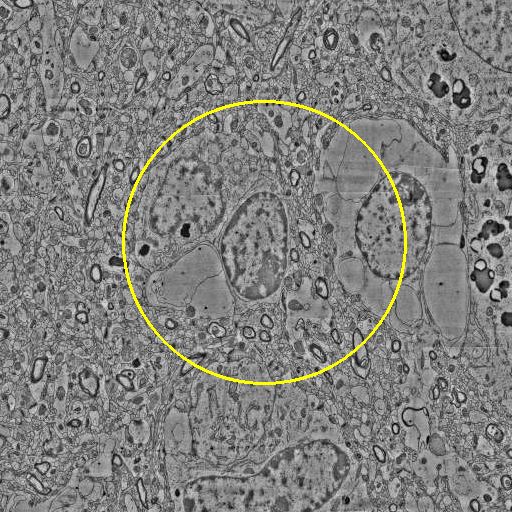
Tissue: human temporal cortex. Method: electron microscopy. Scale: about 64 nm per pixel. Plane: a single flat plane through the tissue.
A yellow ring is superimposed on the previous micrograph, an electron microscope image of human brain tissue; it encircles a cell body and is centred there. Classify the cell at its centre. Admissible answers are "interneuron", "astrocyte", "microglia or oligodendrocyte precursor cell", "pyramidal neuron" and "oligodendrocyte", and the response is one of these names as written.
microglia or oligodendrocyte precursor cell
